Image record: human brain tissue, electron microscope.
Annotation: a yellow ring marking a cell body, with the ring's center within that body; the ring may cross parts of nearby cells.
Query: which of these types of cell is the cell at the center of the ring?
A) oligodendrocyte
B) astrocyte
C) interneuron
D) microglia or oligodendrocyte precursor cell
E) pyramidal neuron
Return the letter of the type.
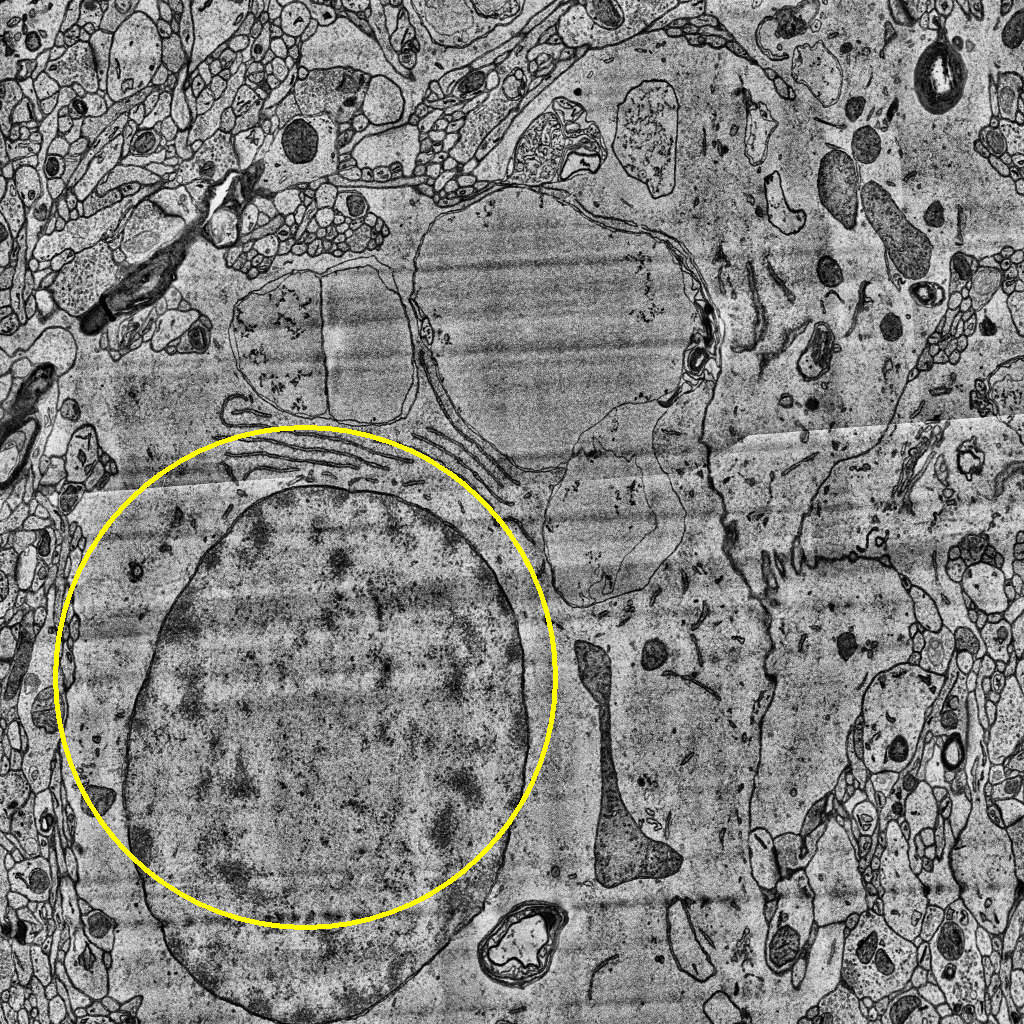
B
